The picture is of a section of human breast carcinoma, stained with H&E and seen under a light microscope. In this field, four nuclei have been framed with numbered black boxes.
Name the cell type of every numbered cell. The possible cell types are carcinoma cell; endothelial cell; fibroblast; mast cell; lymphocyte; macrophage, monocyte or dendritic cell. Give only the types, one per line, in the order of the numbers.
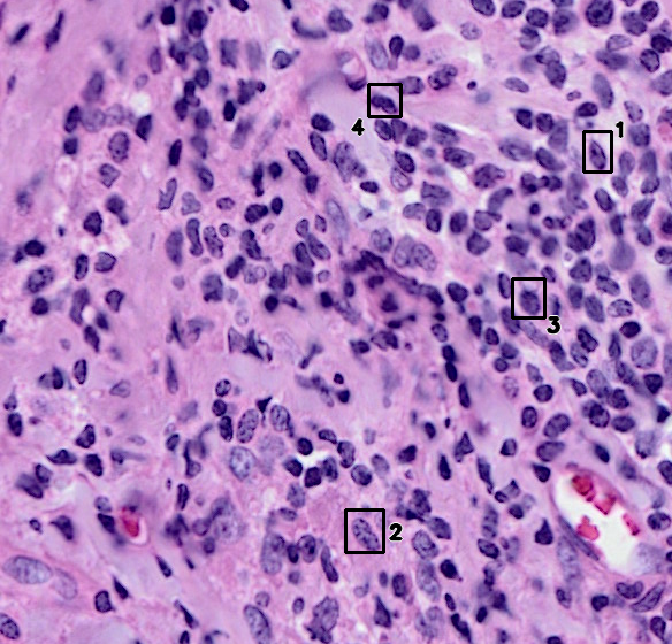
lymphocyte
mast cell
lymphocyte
lymphocyte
